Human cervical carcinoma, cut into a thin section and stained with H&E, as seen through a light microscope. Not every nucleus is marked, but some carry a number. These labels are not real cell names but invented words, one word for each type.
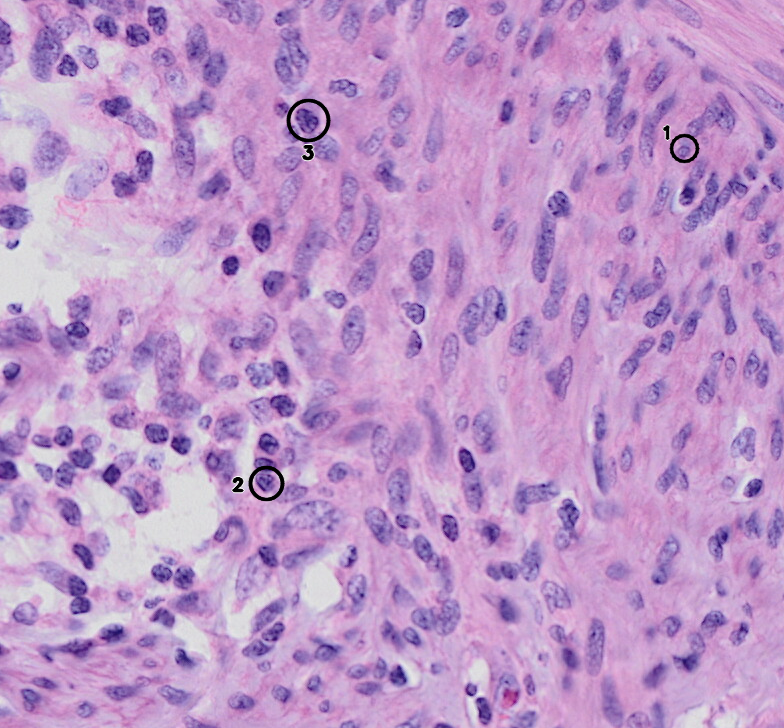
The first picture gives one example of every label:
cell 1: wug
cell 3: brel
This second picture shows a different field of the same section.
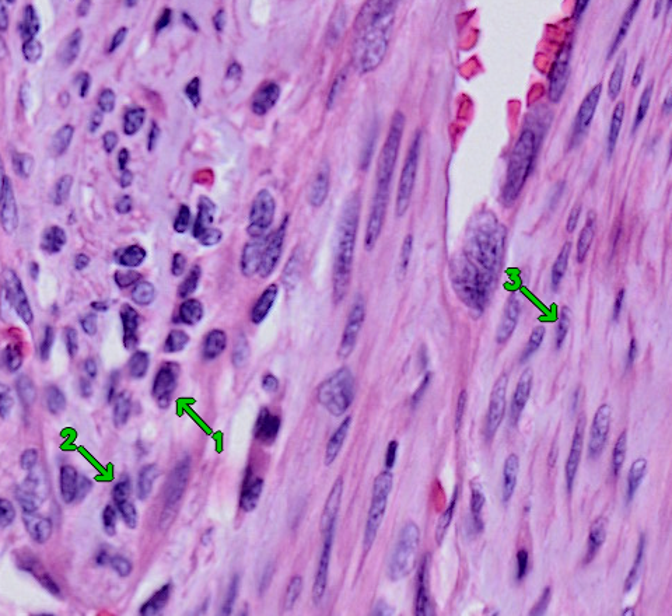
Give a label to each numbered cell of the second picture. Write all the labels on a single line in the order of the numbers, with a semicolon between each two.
brel; brel; wug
